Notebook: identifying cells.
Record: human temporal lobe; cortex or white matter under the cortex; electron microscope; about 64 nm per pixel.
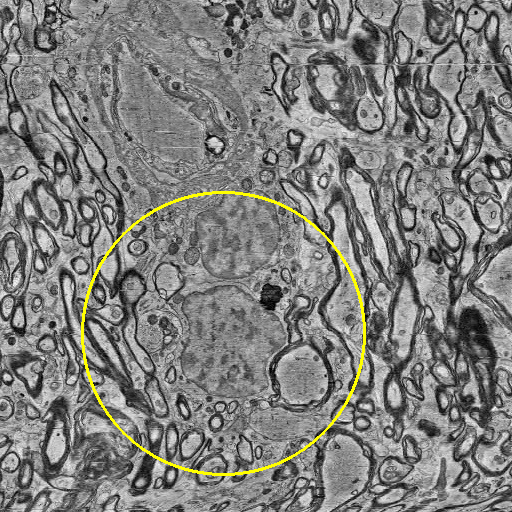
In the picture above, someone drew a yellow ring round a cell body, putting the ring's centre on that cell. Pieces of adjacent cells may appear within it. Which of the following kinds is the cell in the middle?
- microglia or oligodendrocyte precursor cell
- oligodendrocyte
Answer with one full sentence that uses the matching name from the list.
In this picture, the yellow ring is centred on the body of an oligodendrocyte.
